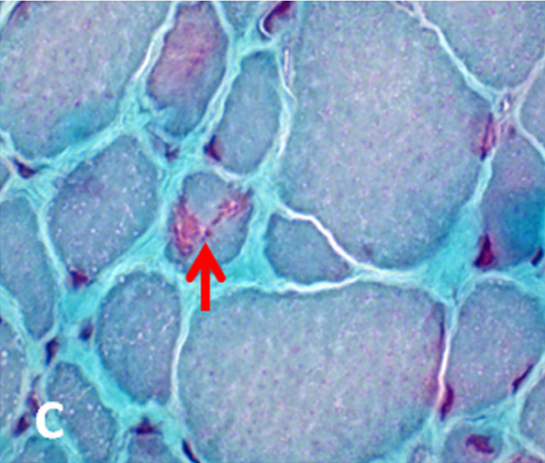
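This is skeletal muscle cut across, showing muscle fibers as rounded or polygonal profiles with blue-green cytoplasm, separated by thin blue-green strands of connective tissue. The fibers differ greatly in size: some are large, while others nearby are much smaller. Small dark purple nuclei sit at the edges of the fibers. Inside a few fibers there are clusters of fine red to purple granules, standing out against the paler blue-green cytoplasm. These red granular deposits are the abnormal rods within the fibers, and they are not seen in most of the larger fibers.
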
